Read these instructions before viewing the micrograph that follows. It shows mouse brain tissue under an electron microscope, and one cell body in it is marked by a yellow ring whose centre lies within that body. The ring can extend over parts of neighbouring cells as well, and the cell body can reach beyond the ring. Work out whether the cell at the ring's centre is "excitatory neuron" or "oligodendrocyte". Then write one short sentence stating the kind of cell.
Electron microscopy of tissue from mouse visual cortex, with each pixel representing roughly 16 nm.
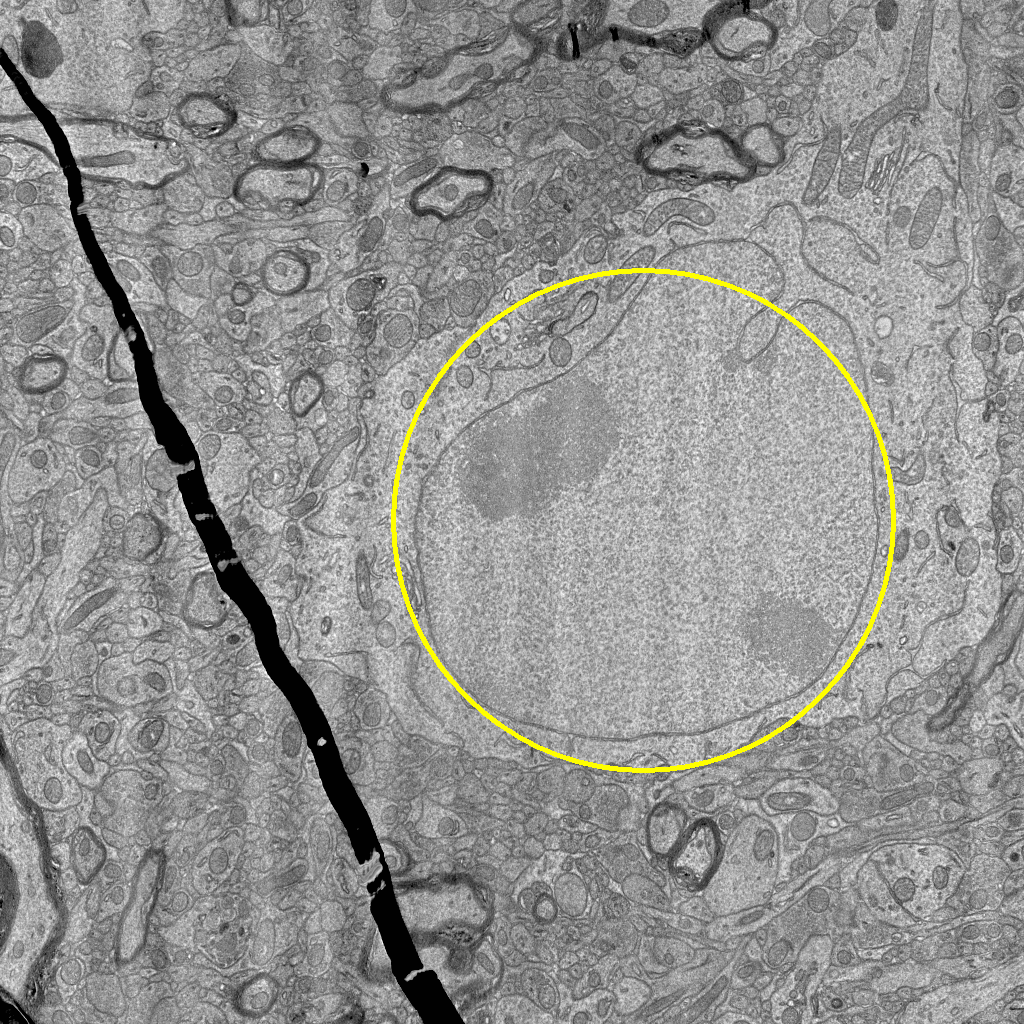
The cell at the ring's centre is an excitatory neuron.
